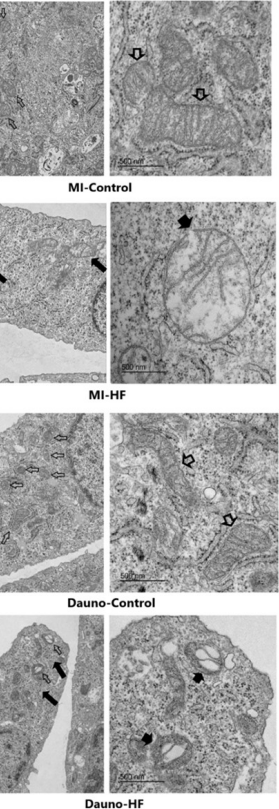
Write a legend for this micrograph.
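In the upper and third rows the mitochondria are elongated or oval with dense matrix and closely packed parallel cristae. In the second and bottom rows the mitochondria are rounded and swollen, with pale matrix, sparse or disarrayed cristae and vesicle-like spaces inside.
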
